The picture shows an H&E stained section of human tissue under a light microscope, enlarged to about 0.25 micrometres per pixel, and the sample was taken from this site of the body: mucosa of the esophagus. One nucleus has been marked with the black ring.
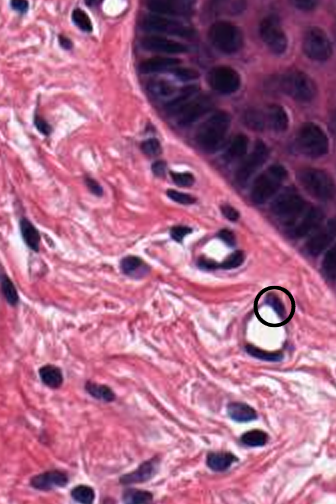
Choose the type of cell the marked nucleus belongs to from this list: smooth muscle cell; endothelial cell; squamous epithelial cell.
endothelial cell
